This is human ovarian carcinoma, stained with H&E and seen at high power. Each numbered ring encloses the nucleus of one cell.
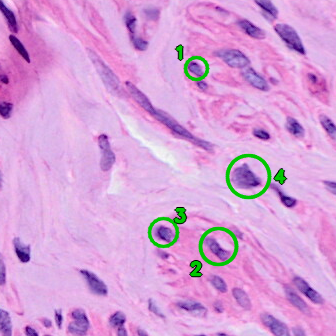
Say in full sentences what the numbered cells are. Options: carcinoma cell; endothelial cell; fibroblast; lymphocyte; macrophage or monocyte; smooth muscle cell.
Cell 1 is a smooth muscle cell, cell 2 is a smooth muscle cell, cell 3 is a smooth muscle cell and cell 4 is a fibroblast.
